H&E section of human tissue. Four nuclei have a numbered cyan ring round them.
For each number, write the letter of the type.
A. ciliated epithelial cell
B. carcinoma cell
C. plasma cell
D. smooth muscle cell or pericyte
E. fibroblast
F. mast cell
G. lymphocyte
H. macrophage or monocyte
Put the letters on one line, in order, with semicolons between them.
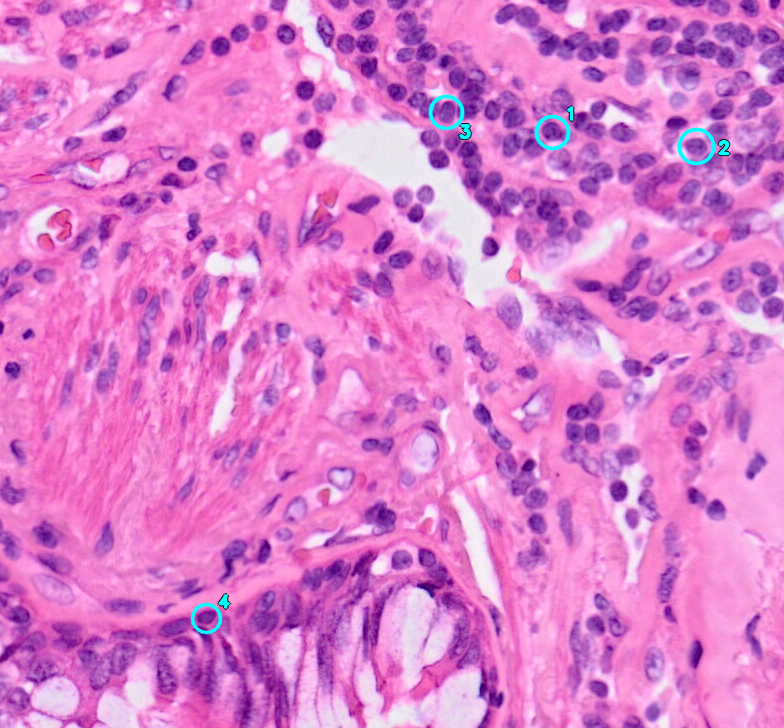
G; G; G; A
